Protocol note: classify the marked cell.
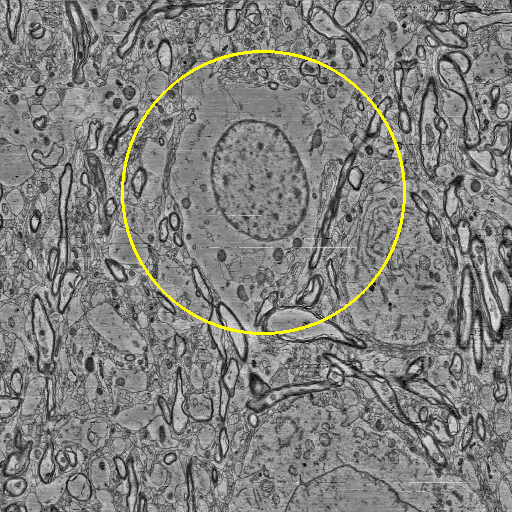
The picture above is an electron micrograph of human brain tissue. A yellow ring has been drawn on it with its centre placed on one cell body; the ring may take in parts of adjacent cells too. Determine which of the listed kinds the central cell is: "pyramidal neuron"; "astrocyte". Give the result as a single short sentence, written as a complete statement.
The central cell is an astrocyte.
